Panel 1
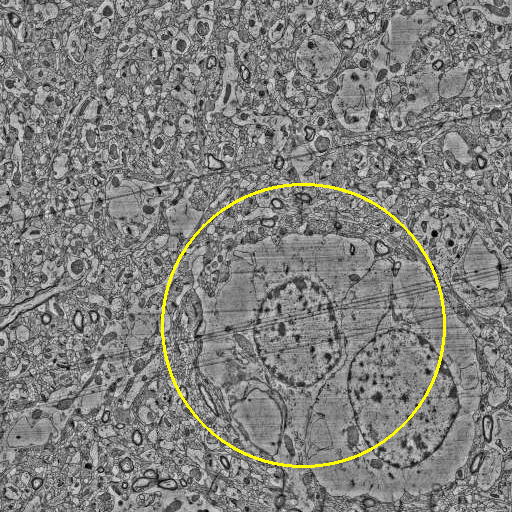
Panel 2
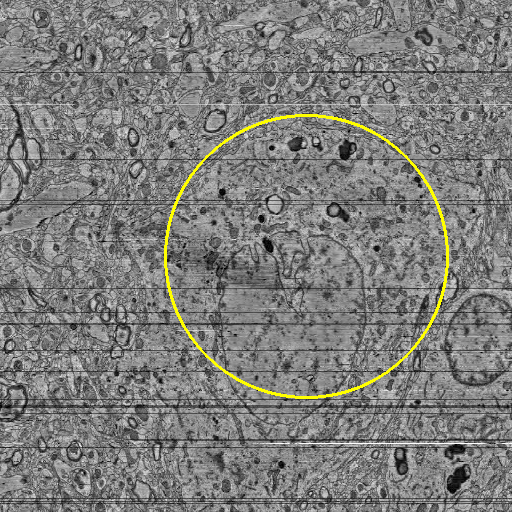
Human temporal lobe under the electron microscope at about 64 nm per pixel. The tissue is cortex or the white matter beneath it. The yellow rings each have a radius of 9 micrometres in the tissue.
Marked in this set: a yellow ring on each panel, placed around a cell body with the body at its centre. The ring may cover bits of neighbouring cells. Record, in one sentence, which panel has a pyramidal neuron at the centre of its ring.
Panel 2 has it at the centre of its ring.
